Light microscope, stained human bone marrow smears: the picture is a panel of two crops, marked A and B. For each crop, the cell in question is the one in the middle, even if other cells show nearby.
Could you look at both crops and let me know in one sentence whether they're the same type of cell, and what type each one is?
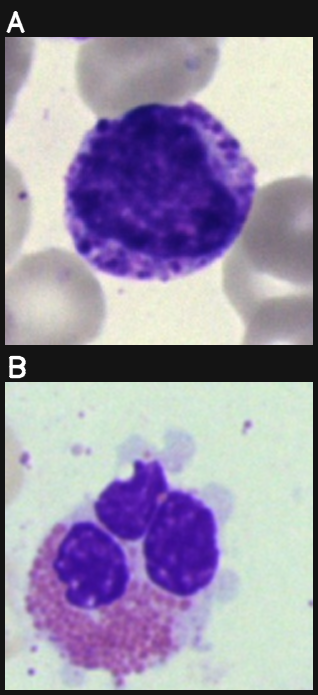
Yes, the crops both have basophils in the middle.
